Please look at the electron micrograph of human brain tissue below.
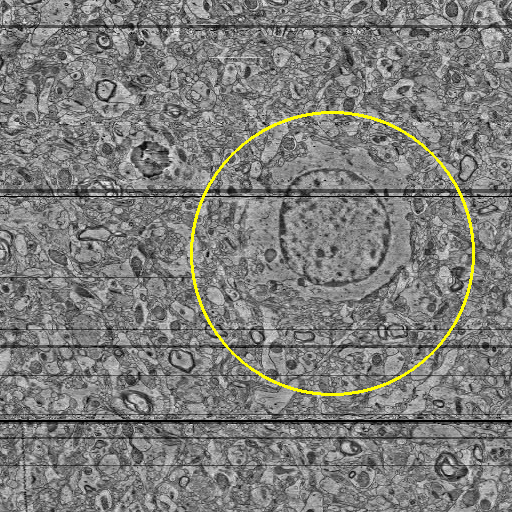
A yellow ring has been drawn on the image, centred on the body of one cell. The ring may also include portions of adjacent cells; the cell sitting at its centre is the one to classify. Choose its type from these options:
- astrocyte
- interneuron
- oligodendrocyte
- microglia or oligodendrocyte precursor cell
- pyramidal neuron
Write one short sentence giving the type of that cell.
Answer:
The cell in the middle of the ring is an astrocyte.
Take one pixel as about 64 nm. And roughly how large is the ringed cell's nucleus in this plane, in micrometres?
The nucleus is about 8 micrometres across in this plane.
